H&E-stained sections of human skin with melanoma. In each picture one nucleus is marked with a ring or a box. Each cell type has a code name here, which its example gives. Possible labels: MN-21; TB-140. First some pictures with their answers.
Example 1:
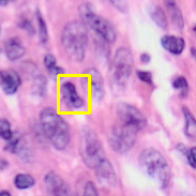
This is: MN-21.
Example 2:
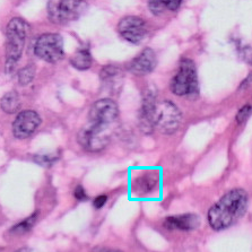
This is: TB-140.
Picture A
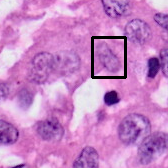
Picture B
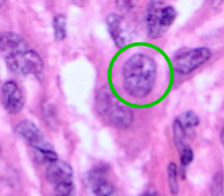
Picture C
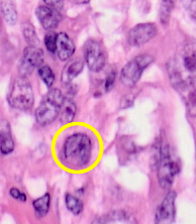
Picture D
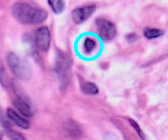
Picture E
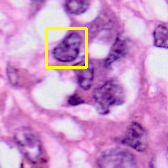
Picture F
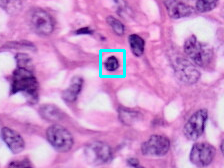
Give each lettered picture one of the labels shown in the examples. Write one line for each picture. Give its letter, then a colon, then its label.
A: TB-140.
B: TB-140.
C: TB-140.
D: MN-21.
E: TB-140.
F: MN-21.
